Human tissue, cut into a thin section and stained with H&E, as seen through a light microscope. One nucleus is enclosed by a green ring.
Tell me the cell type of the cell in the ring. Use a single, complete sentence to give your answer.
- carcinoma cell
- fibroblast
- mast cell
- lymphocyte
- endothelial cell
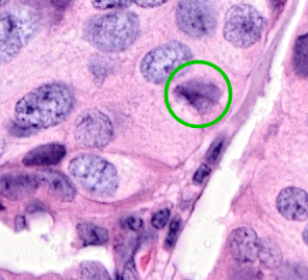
By its classification, the cell in the ring is a carcinoma cell.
